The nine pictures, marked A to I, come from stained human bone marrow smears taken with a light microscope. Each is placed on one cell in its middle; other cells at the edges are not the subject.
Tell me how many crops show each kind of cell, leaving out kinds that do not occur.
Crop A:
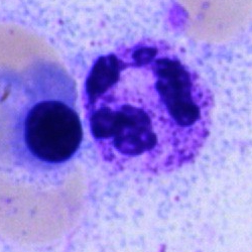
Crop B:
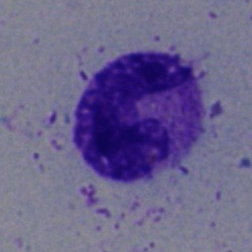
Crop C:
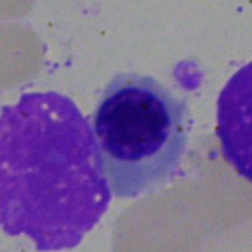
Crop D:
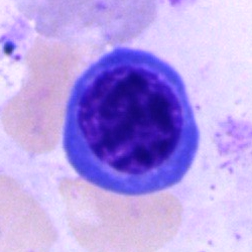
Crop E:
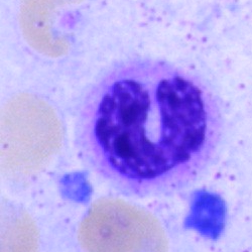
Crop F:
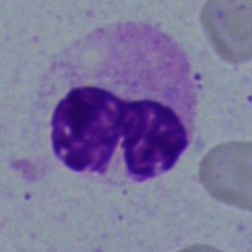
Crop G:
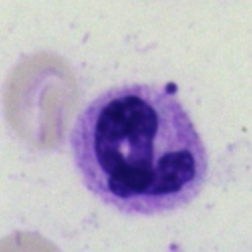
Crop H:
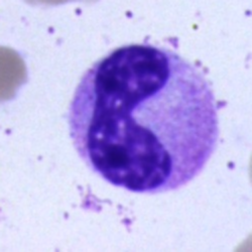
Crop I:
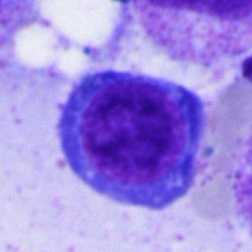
segmented neutrophil: 3
band neutrophil: 3
erythroblast: 3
